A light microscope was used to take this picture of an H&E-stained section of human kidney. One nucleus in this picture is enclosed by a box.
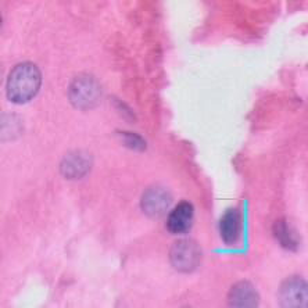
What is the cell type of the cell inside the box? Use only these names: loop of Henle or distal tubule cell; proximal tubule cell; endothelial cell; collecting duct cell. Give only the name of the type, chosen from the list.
endothelial cell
